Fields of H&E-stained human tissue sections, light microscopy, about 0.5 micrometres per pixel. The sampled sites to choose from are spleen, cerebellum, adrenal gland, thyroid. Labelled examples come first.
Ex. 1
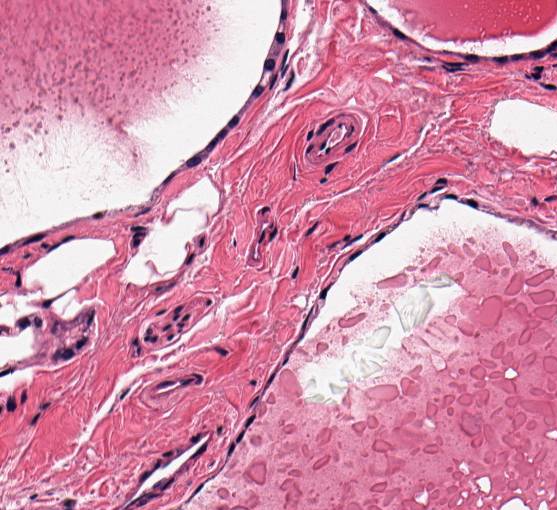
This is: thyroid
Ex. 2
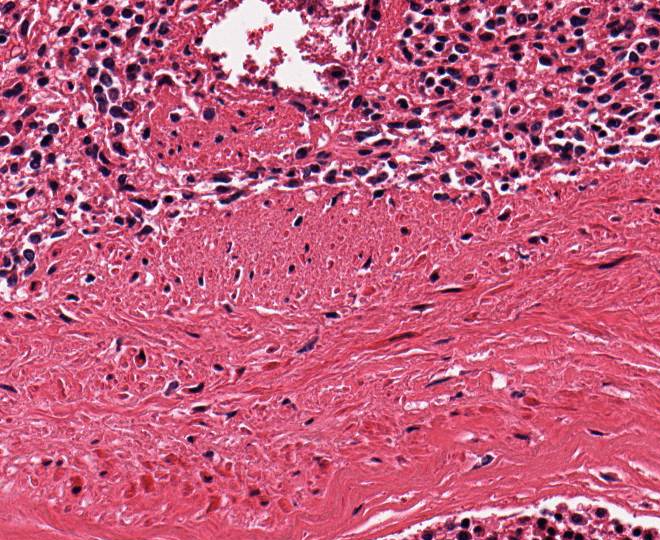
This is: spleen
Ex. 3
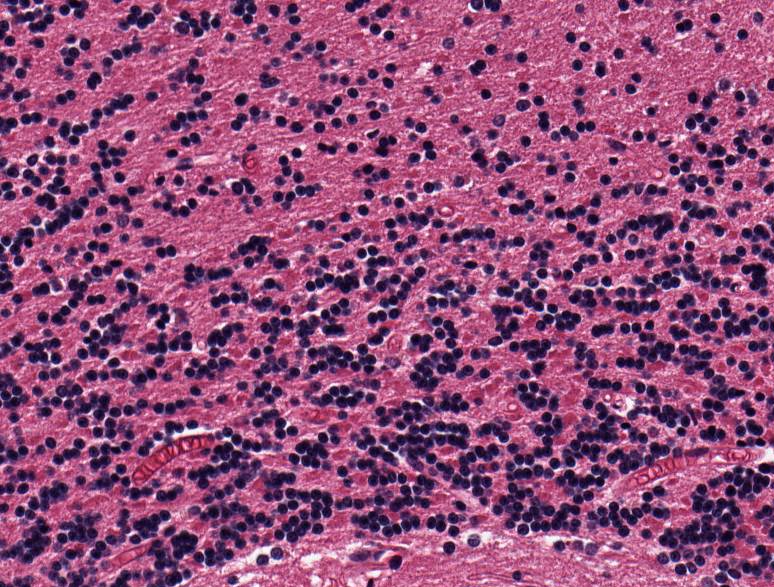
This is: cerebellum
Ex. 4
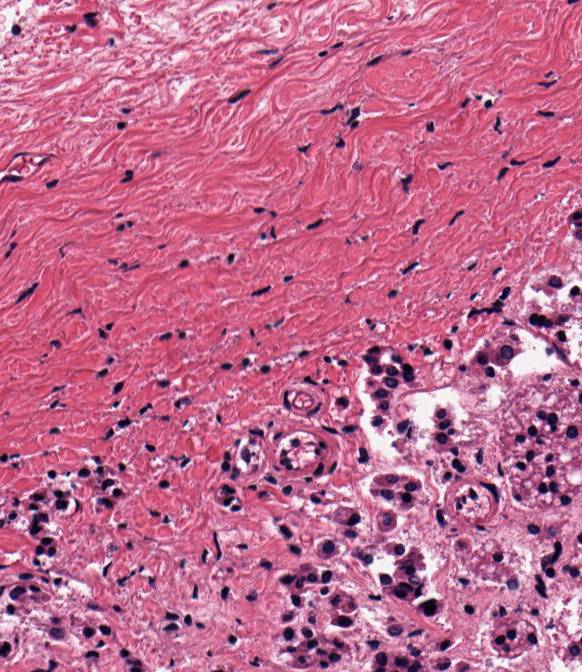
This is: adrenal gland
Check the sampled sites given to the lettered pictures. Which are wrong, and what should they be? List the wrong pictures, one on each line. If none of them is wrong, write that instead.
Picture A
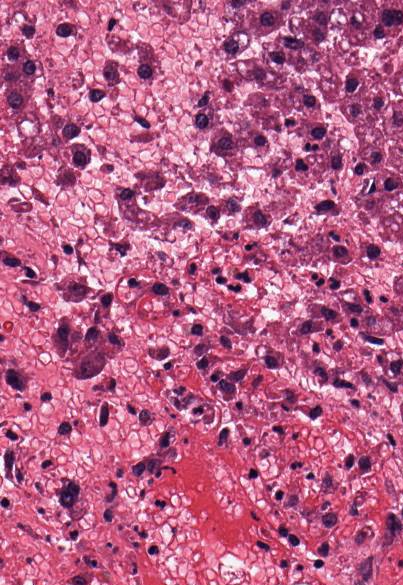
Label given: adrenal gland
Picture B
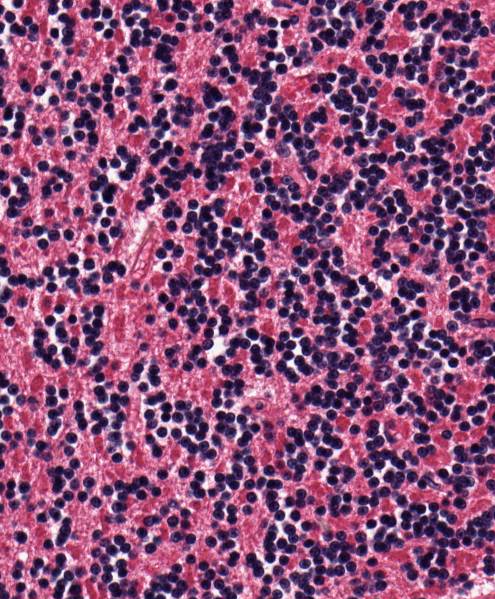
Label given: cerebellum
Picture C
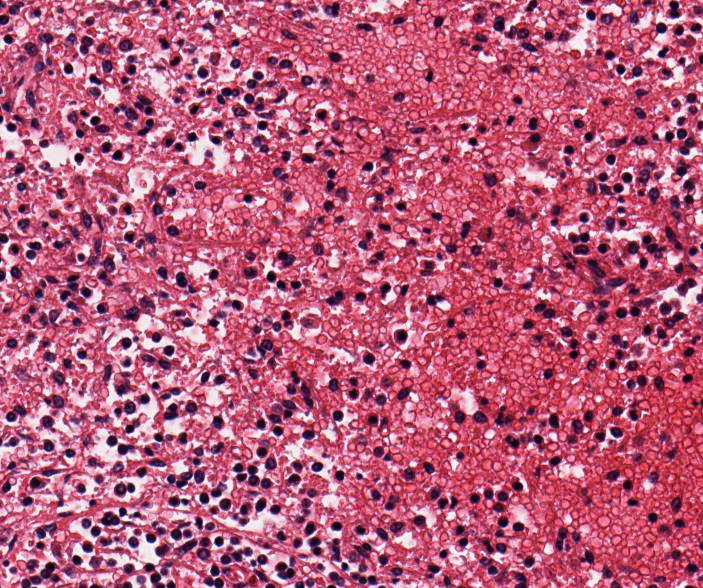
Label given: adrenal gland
C is labelled adrenal gland; correct label: spleen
